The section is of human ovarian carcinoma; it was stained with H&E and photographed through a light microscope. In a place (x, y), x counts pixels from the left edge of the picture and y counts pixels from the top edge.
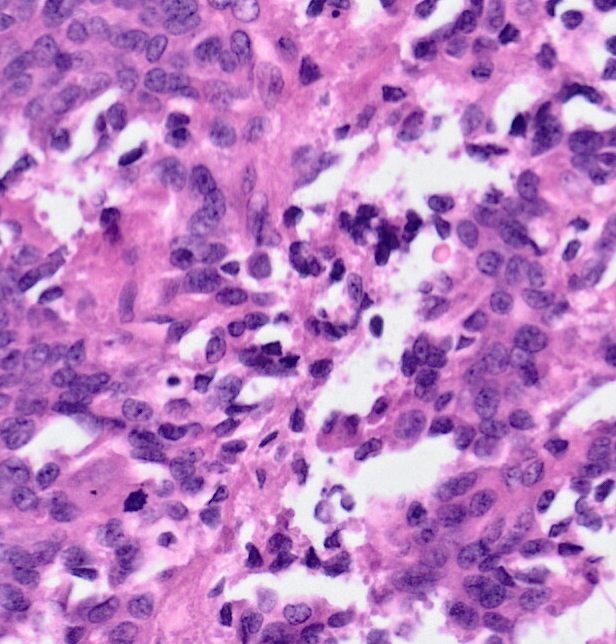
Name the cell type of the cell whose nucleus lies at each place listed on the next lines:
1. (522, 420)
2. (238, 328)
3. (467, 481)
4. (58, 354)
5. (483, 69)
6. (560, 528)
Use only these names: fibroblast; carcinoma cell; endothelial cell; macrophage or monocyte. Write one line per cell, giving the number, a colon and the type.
1: carcinoma cell
2: macrophage or monocyte
3: carcinoma cell
4: carcinoma cell
5: macrophage or monocyte
6: macrophage or monocyte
